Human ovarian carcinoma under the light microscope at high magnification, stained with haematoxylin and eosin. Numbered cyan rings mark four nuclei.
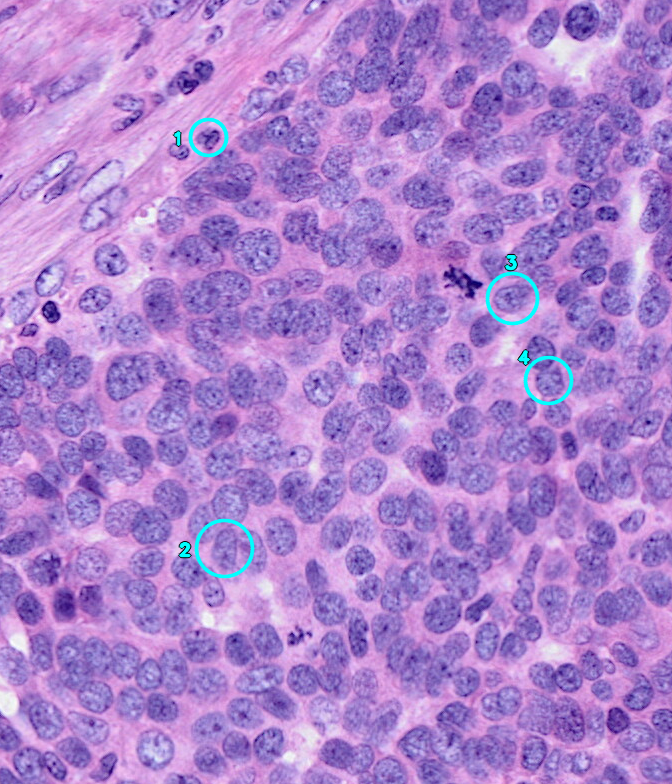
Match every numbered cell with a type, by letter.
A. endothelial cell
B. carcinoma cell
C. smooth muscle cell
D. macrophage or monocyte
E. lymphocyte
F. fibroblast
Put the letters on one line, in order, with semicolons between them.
E; B; B; B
